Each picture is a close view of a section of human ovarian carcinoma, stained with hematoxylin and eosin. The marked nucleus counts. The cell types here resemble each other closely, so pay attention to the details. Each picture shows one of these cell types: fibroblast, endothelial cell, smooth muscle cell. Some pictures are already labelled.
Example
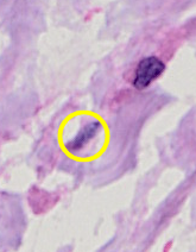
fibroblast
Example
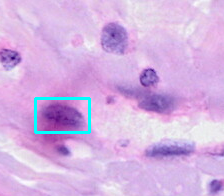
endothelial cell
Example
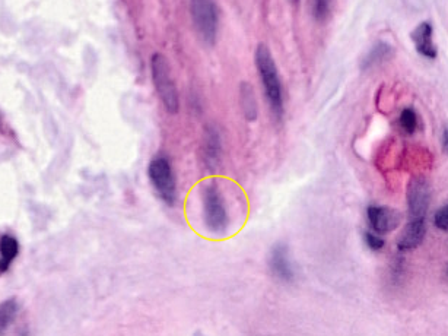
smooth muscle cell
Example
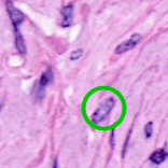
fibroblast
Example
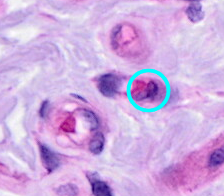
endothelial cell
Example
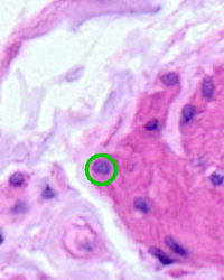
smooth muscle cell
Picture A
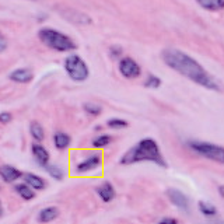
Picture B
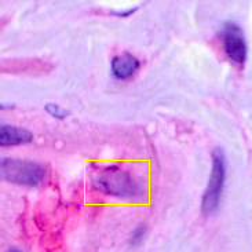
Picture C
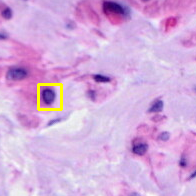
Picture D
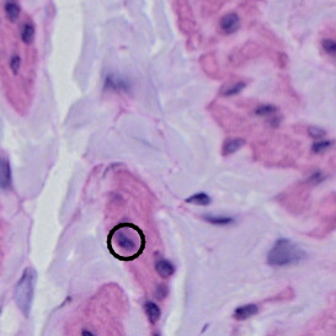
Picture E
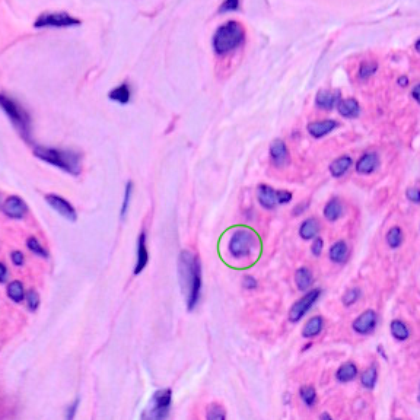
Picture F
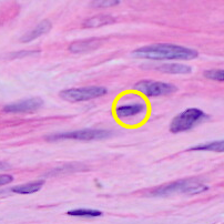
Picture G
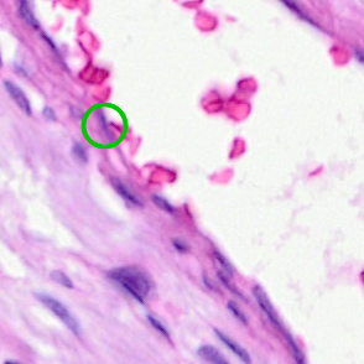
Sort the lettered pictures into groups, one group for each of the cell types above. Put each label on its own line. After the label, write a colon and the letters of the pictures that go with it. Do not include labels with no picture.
endothelial cell: B, G
smooth muscle cell: A, C, D, E, F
